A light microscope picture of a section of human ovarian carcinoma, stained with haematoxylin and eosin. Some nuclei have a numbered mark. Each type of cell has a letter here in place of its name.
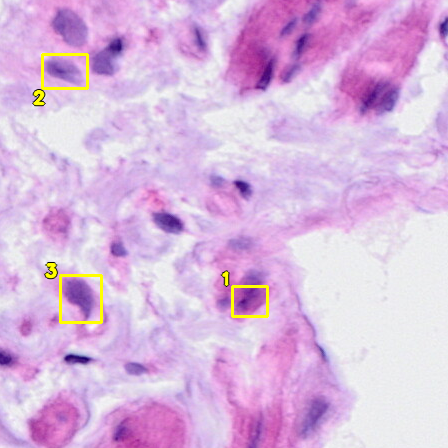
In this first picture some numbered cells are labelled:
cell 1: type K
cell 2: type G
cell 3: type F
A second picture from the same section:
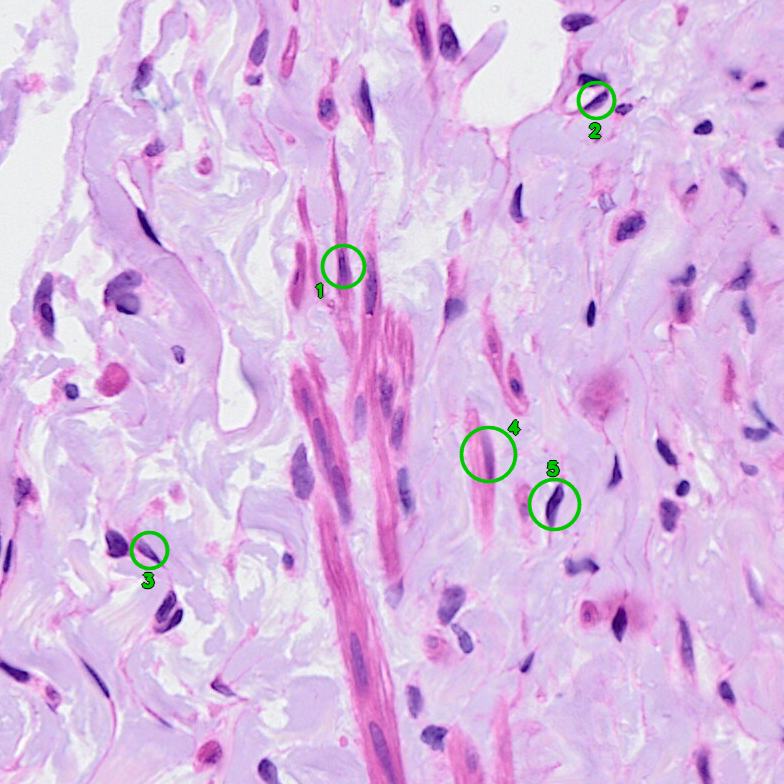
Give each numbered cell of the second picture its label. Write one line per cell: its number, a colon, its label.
1: type K
2: type F
3: type G
4: type K
5: type G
